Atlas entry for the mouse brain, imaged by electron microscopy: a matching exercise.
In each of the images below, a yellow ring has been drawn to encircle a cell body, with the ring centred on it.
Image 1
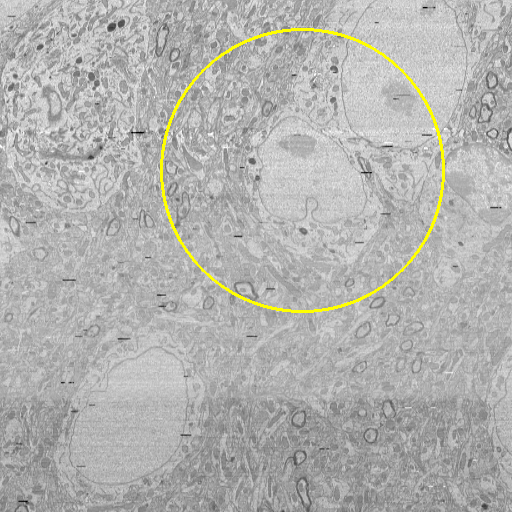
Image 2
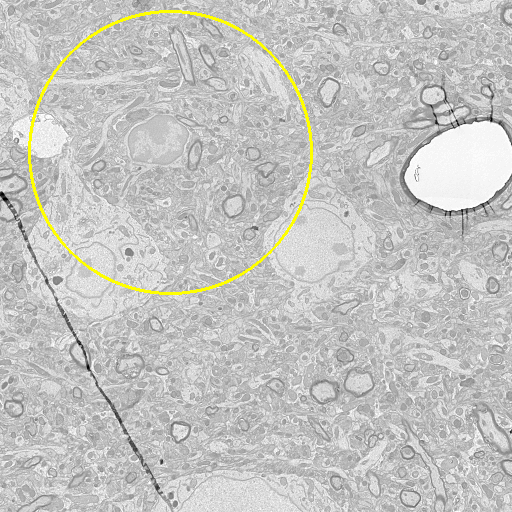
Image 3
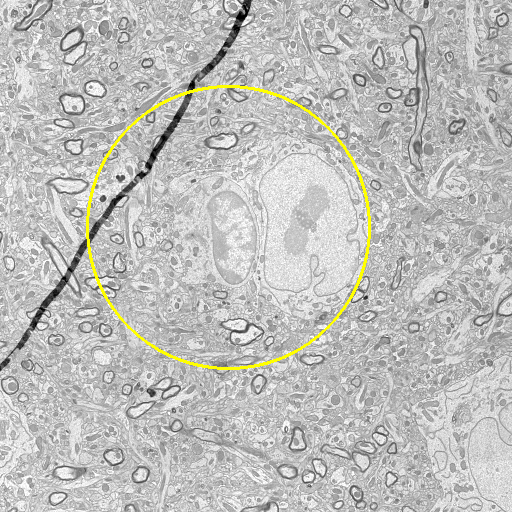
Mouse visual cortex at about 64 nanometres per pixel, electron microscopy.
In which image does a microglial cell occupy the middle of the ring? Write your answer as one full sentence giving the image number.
In image 2, the ring is centred on the cell in question.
